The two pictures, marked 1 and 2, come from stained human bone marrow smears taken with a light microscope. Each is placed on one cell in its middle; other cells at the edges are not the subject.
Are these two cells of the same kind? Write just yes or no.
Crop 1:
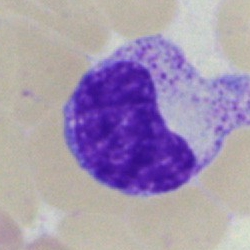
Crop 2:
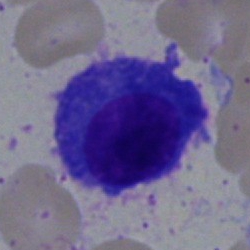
no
